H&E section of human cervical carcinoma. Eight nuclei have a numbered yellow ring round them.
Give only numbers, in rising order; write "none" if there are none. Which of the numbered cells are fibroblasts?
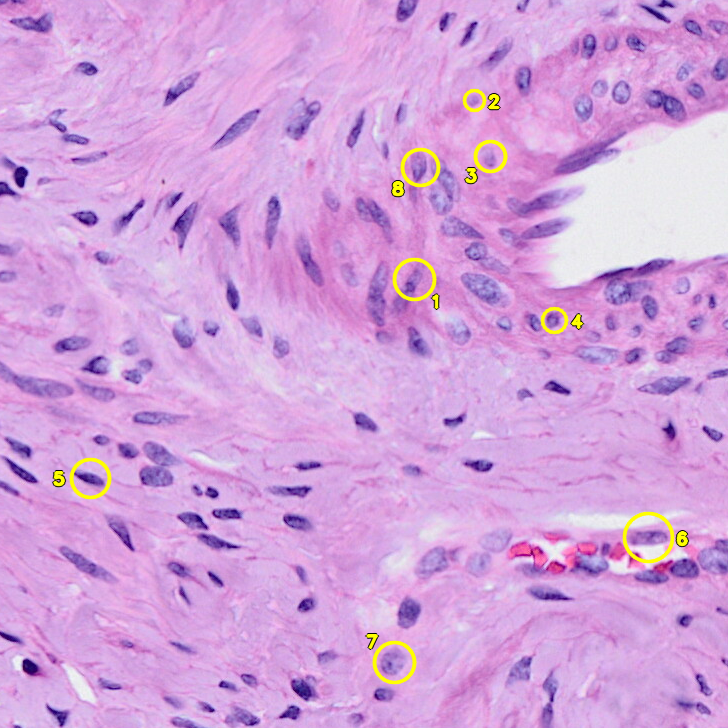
5, 7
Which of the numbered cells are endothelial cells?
6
